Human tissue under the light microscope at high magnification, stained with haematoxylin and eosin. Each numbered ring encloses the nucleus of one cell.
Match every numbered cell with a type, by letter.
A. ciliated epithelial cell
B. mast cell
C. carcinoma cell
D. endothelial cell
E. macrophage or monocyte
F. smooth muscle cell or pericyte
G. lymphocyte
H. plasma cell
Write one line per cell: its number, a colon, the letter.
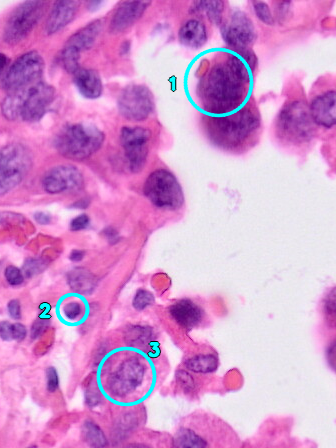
1: C
2: G
3: C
